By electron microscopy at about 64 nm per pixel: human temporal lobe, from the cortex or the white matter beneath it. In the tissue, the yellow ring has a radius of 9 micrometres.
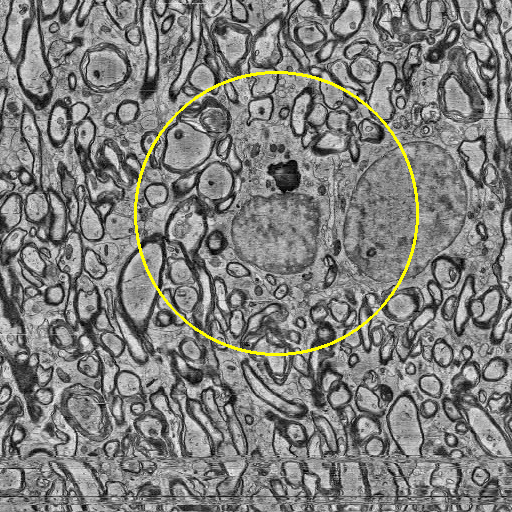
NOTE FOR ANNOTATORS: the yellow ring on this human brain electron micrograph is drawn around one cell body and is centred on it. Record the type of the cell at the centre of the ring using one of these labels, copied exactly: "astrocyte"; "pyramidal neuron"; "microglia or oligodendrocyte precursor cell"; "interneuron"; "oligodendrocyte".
oligodendrocyte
